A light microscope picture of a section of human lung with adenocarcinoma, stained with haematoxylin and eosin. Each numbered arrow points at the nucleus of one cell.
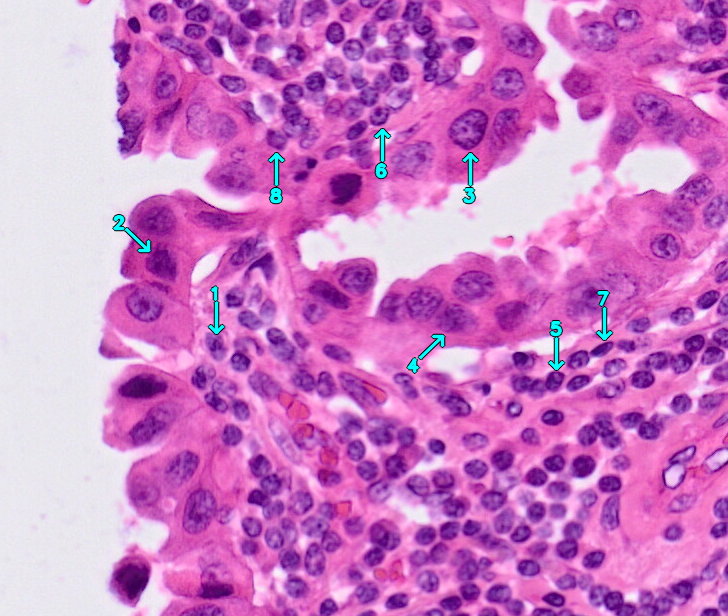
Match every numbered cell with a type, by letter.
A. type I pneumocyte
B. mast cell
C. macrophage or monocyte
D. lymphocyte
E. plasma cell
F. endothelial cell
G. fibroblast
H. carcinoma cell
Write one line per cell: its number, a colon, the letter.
1: D
2: H
3: H
4: H
5: D
6: D
7: D
8: D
